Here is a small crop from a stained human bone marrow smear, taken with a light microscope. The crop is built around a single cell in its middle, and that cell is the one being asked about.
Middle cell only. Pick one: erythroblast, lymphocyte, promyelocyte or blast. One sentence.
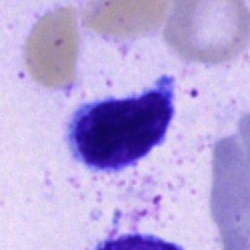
At the crop's centre, the cell is a lymphocyte.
